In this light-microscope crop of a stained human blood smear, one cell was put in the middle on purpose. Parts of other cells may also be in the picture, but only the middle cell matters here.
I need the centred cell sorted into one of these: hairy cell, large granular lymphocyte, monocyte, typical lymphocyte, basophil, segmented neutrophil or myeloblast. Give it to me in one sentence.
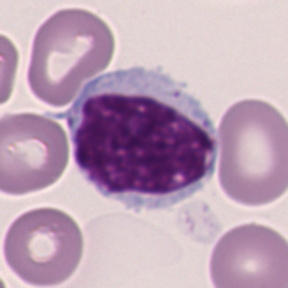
The centrally positioned cell in the crop represents a large granular lymphocyte.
